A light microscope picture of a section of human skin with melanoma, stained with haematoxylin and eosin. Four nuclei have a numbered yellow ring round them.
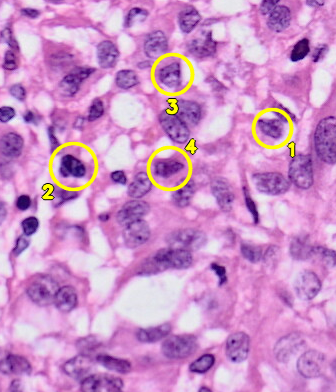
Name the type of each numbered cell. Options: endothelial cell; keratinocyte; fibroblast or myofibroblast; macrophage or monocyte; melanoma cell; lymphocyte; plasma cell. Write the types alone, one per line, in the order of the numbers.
melanoma cell
plasma cell
melanoma cell
melanoma cell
